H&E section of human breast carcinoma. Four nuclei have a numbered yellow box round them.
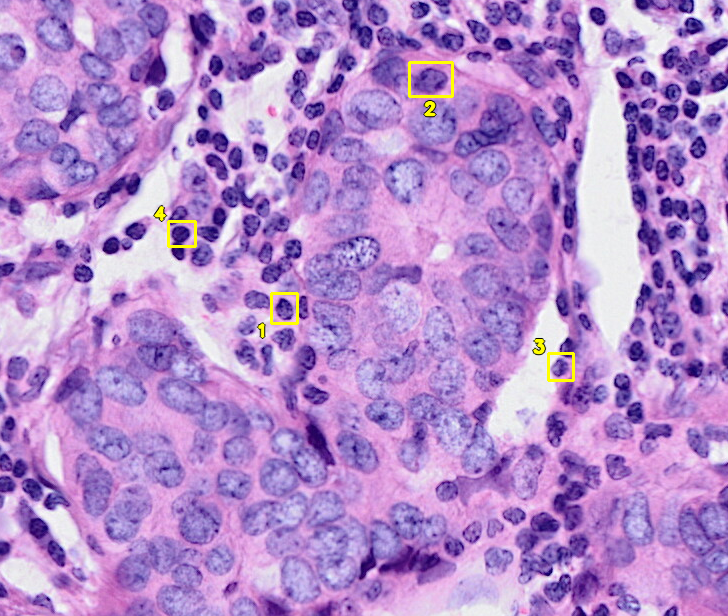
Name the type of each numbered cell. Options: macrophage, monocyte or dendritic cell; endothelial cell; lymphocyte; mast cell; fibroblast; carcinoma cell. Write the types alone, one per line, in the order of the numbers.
lymphocyte
carcinoma cell
lymphocyte
lymphocyte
